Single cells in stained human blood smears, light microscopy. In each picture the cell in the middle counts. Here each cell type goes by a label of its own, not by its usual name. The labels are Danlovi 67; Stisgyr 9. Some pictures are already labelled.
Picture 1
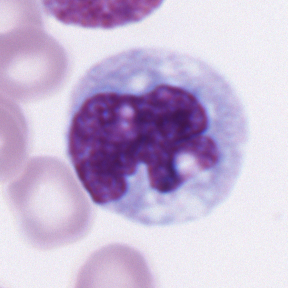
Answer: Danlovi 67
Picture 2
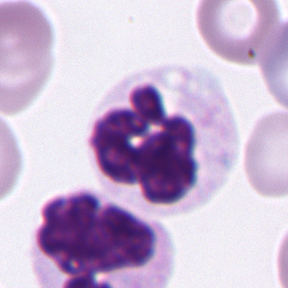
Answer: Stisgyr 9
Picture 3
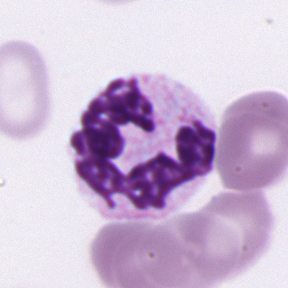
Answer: Stisgyr 9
